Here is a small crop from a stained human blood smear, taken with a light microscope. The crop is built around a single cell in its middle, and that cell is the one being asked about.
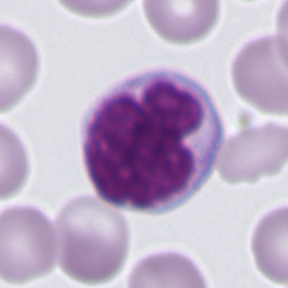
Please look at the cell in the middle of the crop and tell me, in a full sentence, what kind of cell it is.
The cell at the heart of this crop is a large granular lymphocyte.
